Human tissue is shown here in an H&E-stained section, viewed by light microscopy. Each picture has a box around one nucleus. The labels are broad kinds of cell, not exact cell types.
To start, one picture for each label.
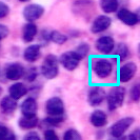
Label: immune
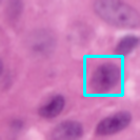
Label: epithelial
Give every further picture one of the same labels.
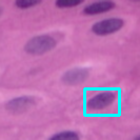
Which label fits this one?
epithelial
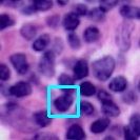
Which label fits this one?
immune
